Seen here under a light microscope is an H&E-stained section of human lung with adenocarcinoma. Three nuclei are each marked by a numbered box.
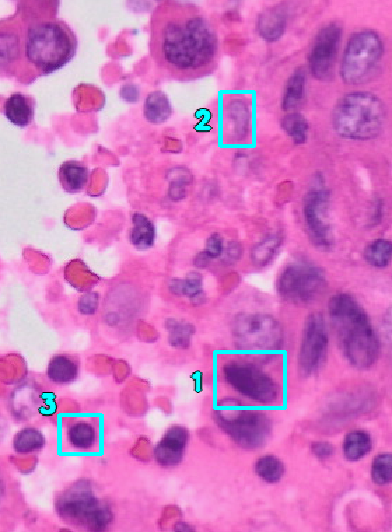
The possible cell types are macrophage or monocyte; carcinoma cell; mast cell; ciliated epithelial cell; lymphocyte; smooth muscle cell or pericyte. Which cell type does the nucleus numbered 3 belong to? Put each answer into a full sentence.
Nucleus 3 in this section belongs to a lymphocyte.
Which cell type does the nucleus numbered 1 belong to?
The mark numbered 1 indicates the nucleus of a carcinoma cell.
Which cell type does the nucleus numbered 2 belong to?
The cell that is numbered 2 is a macrophage or monocyte.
